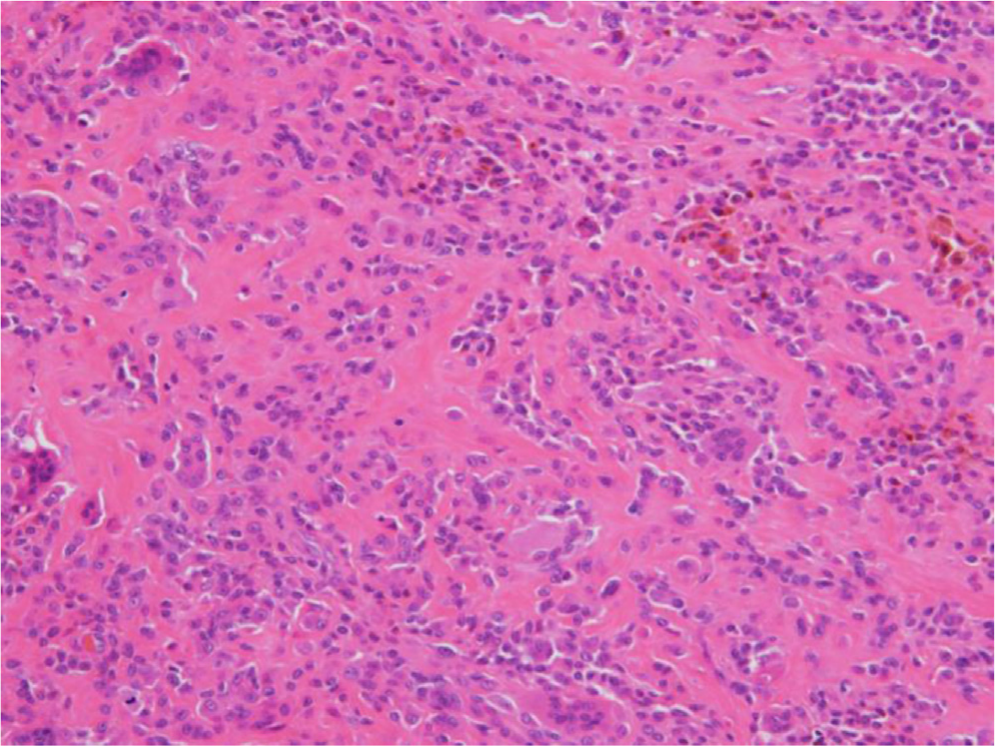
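Dense sheets and cords of small mononuclear cells are broken up by bands of pale pink, hyalinized collagen. The mononuclear cells have round to oval or slightly bean-shaped nuclei and a modest rim of pink cytoplasm. Scattered among them are multinucleated giant cells with abundant eosinophilic cytoplasm and clustered nuclei, seen near the upper left and at the left edge. In the upper right, clumps of coarse golden-brown pigment lie within and between rounded cells, consistent with hemosiderin deposits.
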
